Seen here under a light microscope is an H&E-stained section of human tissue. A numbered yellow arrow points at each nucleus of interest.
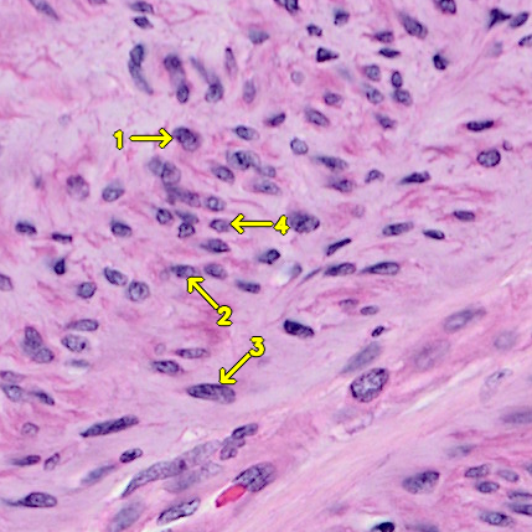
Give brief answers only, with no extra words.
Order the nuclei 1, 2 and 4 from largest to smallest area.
1, 2, 4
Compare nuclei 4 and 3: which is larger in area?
3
